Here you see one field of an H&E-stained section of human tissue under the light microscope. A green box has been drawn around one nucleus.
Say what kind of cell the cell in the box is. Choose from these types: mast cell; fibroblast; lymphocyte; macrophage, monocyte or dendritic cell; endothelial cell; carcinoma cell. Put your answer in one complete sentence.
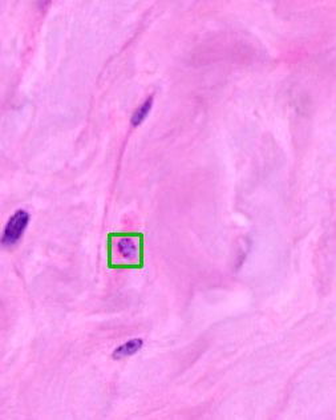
The cell in the box appears to be a mast cell.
